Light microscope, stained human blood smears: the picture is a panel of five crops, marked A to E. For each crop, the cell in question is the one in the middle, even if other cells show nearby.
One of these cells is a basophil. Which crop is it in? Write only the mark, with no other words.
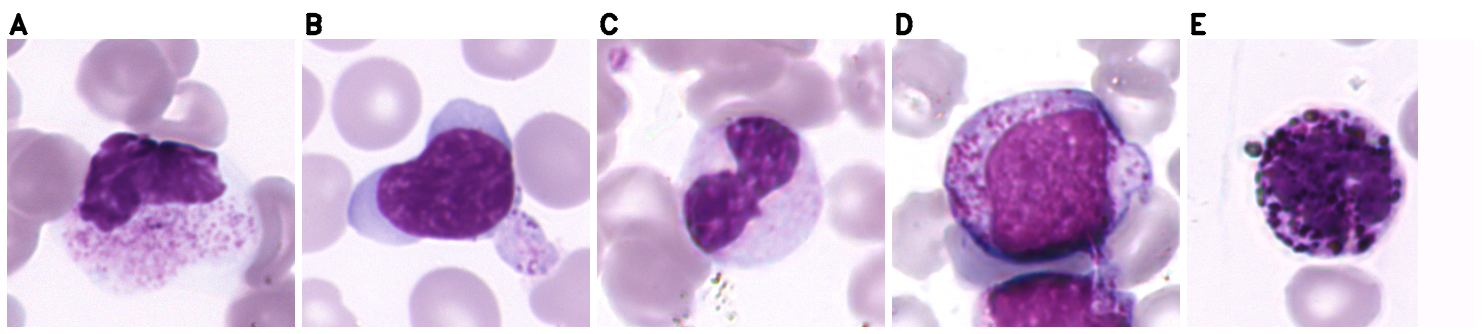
E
